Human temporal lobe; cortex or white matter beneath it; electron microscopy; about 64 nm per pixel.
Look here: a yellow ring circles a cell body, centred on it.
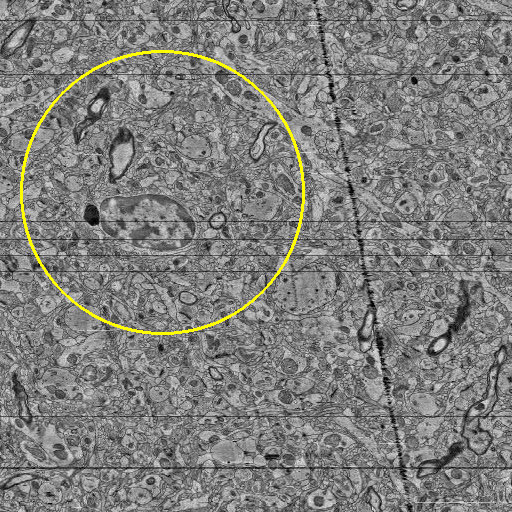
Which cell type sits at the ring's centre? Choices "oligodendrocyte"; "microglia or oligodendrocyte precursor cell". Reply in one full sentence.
The cell at the centre of the yellow ring in the picture is a microglial cell or oligodendrocyte precursor cell.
